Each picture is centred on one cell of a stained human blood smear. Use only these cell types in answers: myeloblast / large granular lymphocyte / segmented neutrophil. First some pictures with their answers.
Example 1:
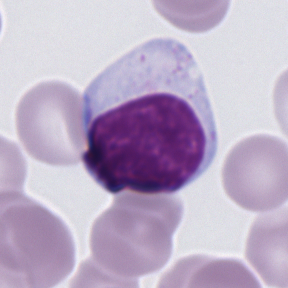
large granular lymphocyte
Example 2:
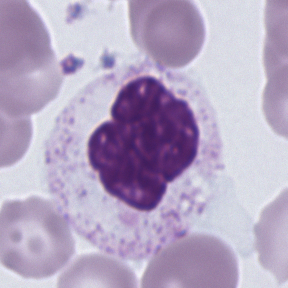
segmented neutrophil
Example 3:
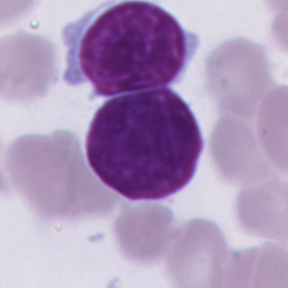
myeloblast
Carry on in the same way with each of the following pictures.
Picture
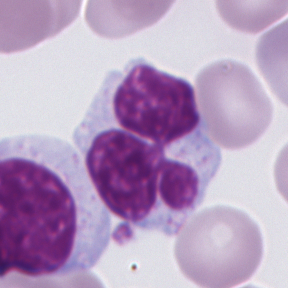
large granular lymphocyte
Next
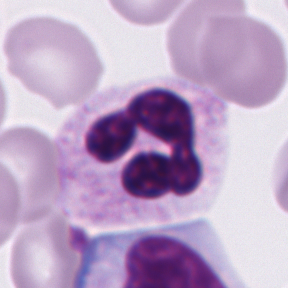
segmented neutrophil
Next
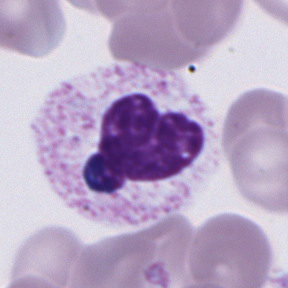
segmented neutrophil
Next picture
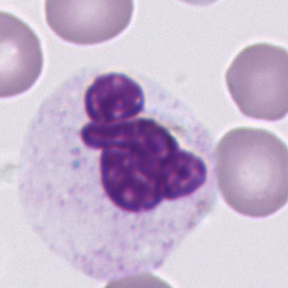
segmented neutrophil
